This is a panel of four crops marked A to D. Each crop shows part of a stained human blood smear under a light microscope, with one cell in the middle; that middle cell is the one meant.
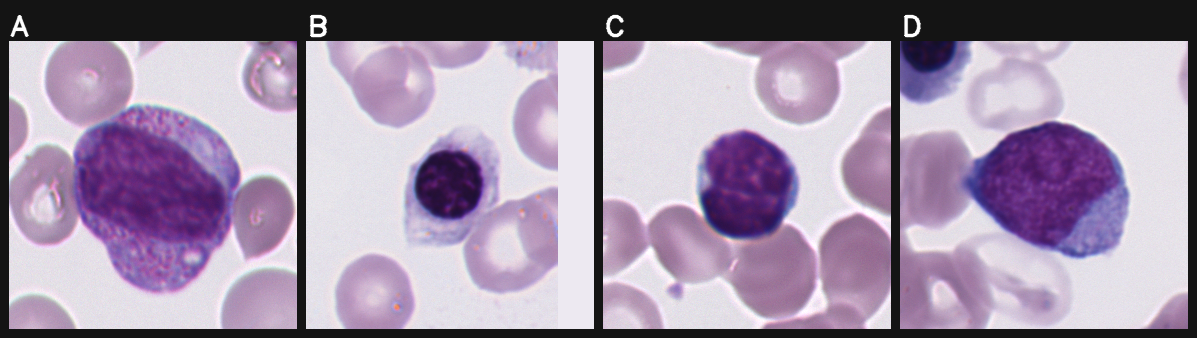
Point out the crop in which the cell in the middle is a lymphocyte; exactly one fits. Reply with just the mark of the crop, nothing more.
C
